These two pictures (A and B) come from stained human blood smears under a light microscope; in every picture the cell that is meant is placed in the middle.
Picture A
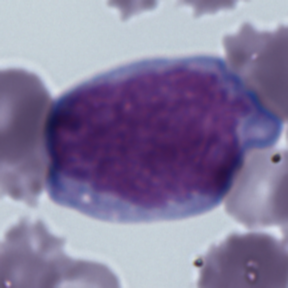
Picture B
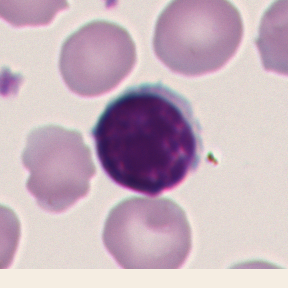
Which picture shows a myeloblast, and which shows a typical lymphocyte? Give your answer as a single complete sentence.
It is picture A that shows a myeloblast, and picture B that shows a typical lymphocyte.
